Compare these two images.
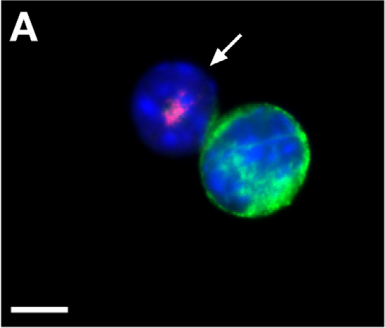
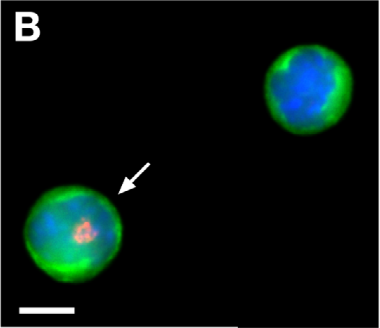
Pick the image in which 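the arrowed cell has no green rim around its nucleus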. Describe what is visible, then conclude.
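The first image. Second image: the arrowed cell is ringed by bright green cytoplasmic staining around its blue nucleus. First image: the arrowed cell shows only blue with a red spot inside, without green. First image: the neighbouring unarrowed cell is strongly green.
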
